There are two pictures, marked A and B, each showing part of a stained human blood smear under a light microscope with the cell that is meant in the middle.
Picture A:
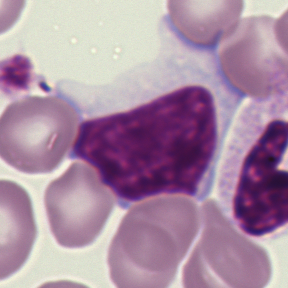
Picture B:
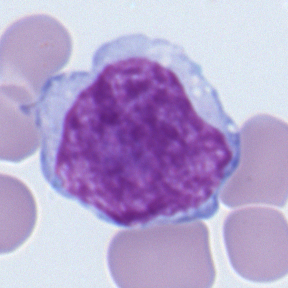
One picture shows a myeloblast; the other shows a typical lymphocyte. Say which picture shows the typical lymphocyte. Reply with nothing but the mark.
A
